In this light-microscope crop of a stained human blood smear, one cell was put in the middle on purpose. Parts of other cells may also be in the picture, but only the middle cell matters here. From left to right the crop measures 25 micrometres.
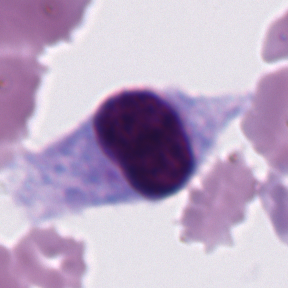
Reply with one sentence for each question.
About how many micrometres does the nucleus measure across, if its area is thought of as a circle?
About 8 micrometres: that is the diameter of the nucleus.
